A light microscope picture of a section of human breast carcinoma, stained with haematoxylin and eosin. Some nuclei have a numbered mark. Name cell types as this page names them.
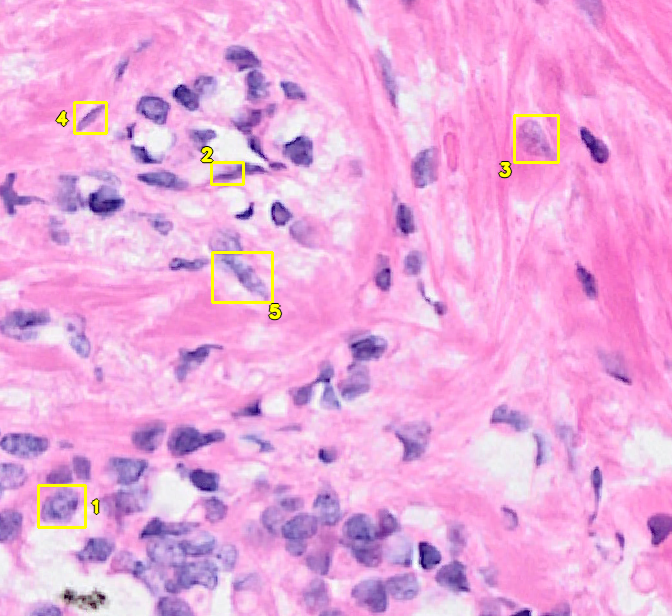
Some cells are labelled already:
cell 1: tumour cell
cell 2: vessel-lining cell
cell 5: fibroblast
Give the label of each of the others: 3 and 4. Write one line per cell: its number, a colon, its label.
3: fibroblast
4: fibroblast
